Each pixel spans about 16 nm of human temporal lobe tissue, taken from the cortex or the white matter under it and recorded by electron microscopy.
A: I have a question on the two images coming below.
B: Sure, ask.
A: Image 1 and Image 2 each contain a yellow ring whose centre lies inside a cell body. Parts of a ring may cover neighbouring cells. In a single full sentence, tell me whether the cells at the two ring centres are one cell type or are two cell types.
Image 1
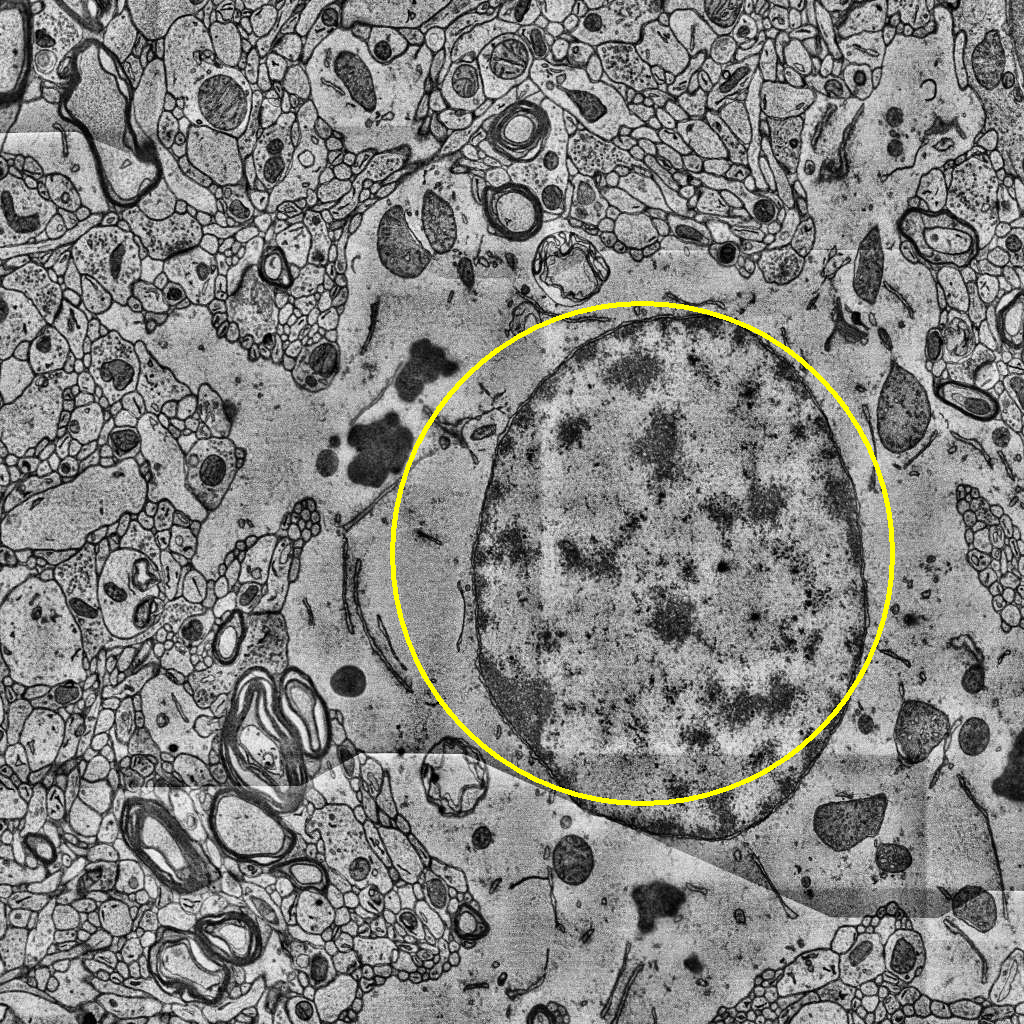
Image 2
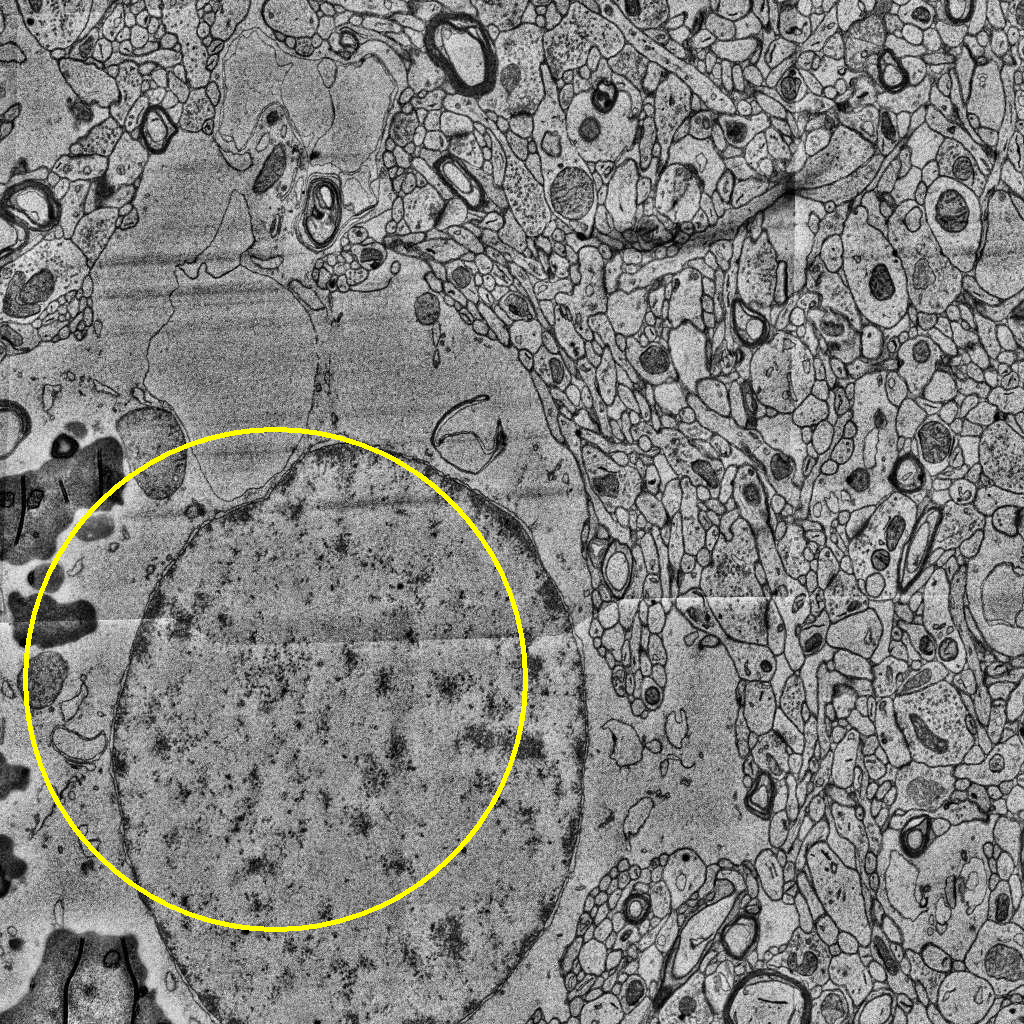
As for the ring-centre cells, the one in Image 1 and the one in Image 2 are one cell type.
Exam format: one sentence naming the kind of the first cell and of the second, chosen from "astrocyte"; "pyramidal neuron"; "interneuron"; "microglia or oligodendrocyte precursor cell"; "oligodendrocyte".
Both cells are the same kind, each one being an astrocyte.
